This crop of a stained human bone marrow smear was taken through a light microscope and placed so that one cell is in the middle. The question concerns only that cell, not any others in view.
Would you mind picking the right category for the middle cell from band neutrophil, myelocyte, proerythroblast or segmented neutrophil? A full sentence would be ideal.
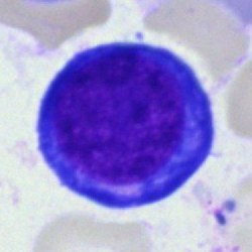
Located at the centre of the crop is a proerythroblast.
